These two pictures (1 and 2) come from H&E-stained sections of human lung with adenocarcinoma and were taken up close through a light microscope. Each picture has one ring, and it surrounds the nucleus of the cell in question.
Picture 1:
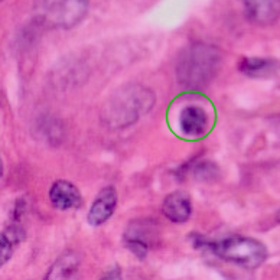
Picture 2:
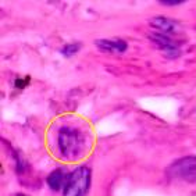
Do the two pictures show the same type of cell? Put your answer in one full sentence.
No, the types are not the same, since picture 1 shows a lymphocyte and picture 2 a mast cell.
